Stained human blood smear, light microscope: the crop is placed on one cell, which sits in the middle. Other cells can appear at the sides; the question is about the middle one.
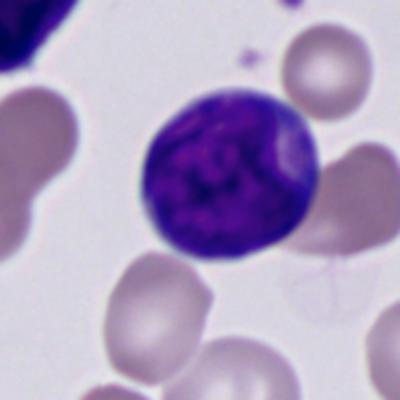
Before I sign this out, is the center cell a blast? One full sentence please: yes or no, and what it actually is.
Yes, the cell found in the middle is a blast.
